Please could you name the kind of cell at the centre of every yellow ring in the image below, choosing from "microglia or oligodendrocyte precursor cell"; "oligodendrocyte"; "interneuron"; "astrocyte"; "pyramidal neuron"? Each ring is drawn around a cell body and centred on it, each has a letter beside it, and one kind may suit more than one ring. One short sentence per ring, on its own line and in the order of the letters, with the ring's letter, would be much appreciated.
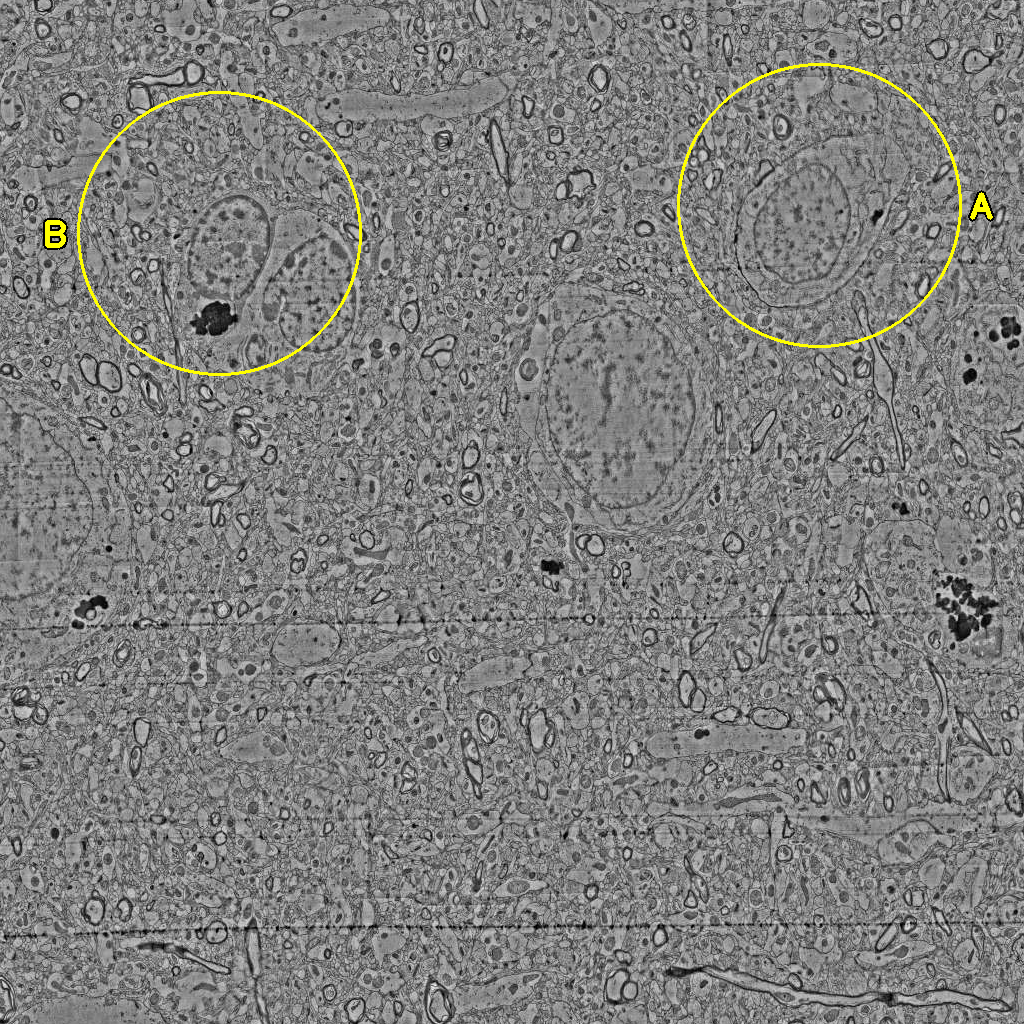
The cell in the middle of ring A is a pyramidal neuron.
The cell in the middle of ring B is an oligodendrocyte.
